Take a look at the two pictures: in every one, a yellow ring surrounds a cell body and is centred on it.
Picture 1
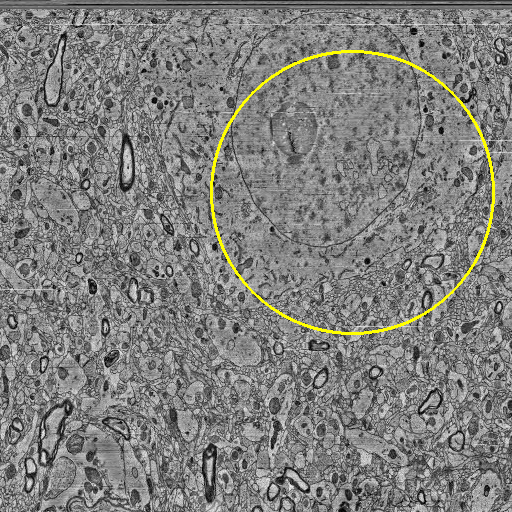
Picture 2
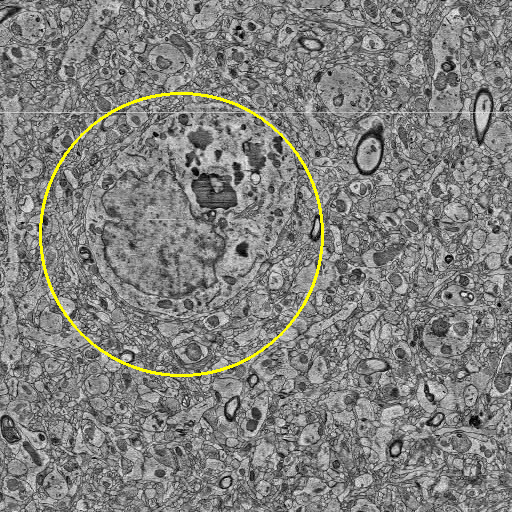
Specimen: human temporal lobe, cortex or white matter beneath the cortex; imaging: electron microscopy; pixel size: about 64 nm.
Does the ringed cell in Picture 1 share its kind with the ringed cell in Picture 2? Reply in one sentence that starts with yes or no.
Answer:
No, the two centred cells, one per picture, are of two kinds.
